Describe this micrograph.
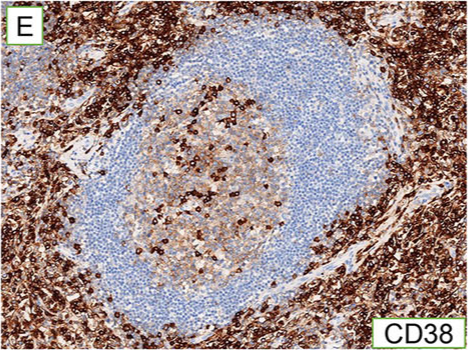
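This is lymphoid tissue with a round follicle surrounded by interfollicular tissue crowded with brown-stained plasma cells. The mantle of small lymphocytes around the follicle is unstained and blue, forming a pale ring. Inside the ring the follicle center shows weaker, patchy brown staining with some strongly stained scattered cells. Outside the ring the brown cells lie packed in sheets between thin strands of tissue.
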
